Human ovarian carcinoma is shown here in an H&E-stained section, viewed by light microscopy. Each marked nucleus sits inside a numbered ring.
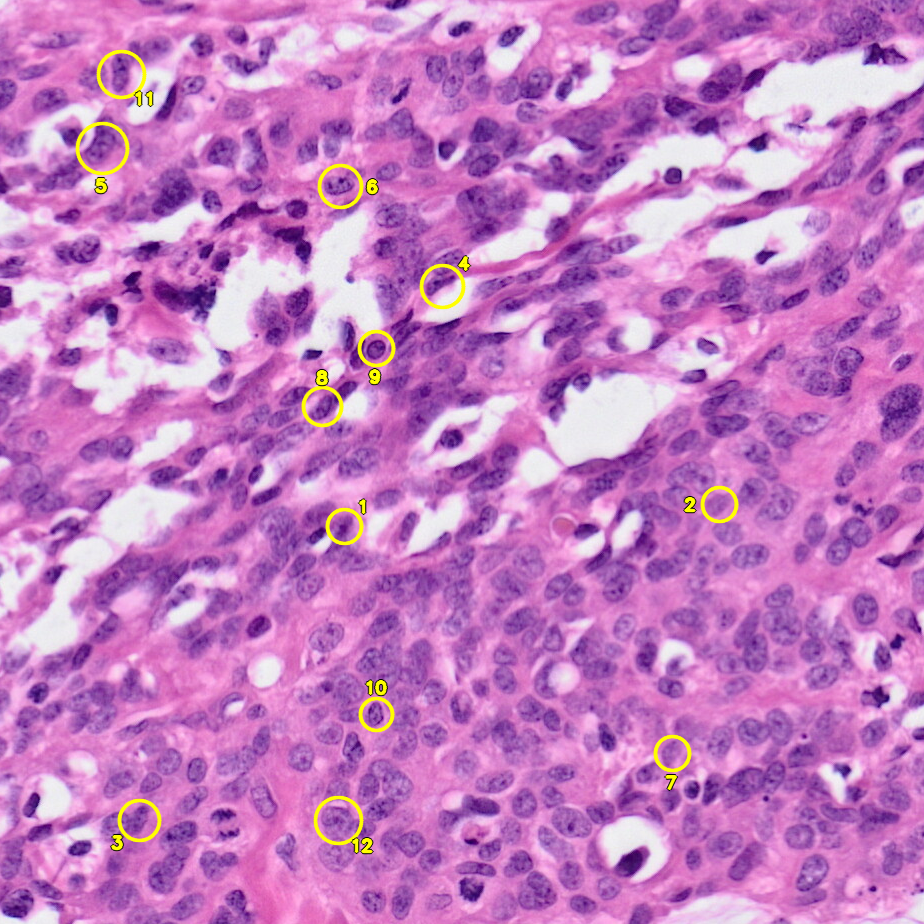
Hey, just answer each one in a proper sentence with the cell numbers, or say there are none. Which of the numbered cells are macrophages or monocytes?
The cells identified by the numbers 4, 6, 9, 10 and 11 are macrophages or monocytes.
